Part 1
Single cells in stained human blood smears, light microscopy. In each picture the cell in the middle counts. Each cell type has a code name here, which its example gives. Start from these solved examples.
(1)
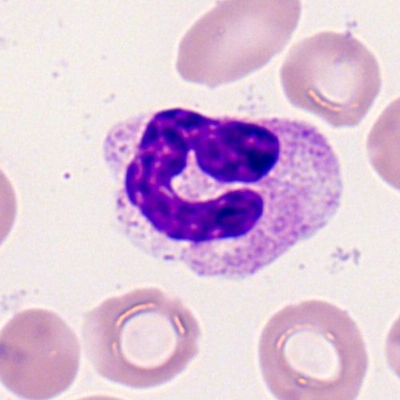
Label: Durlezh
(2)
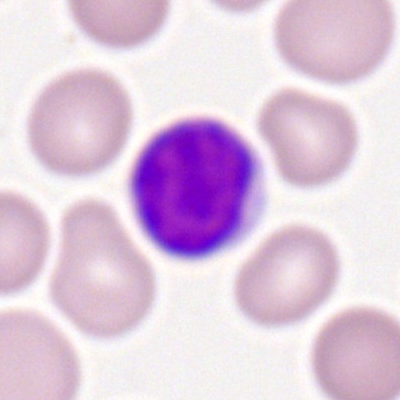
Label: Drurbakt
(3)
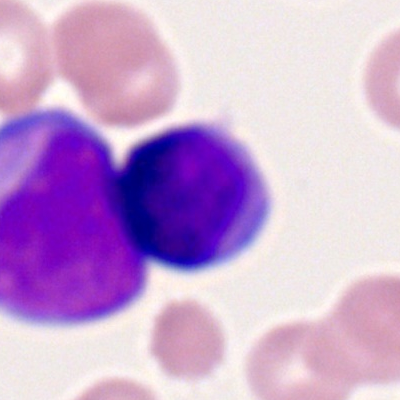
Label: Drurbakt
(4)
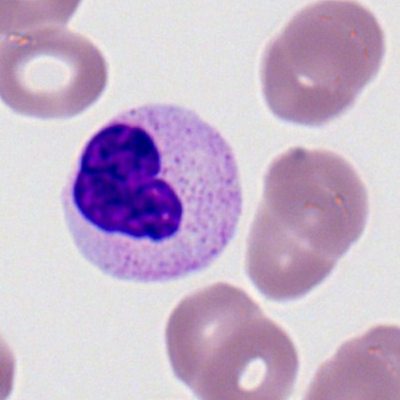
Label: Durlezh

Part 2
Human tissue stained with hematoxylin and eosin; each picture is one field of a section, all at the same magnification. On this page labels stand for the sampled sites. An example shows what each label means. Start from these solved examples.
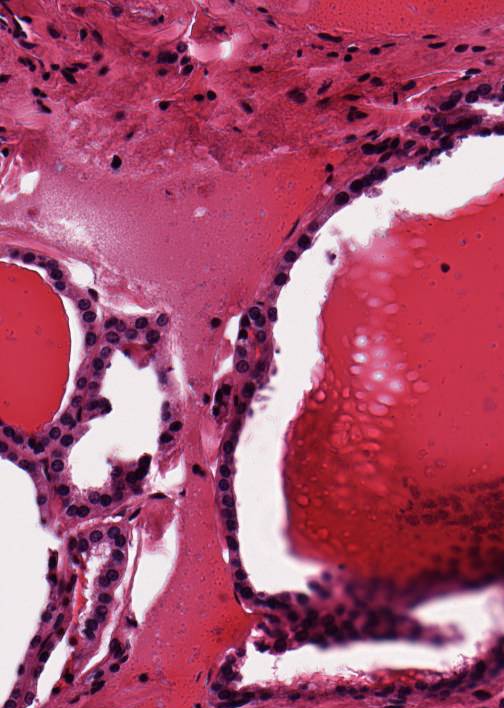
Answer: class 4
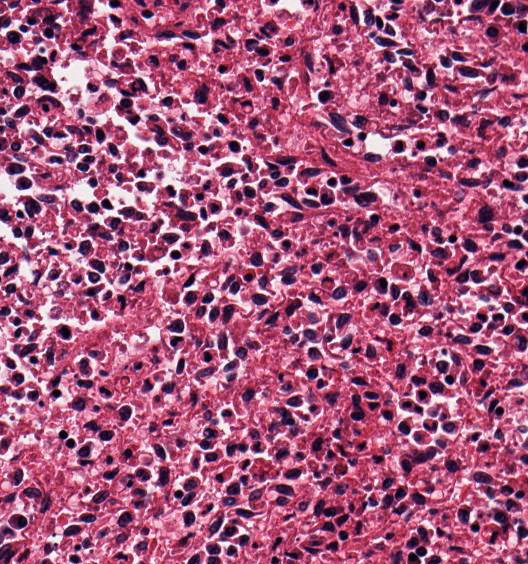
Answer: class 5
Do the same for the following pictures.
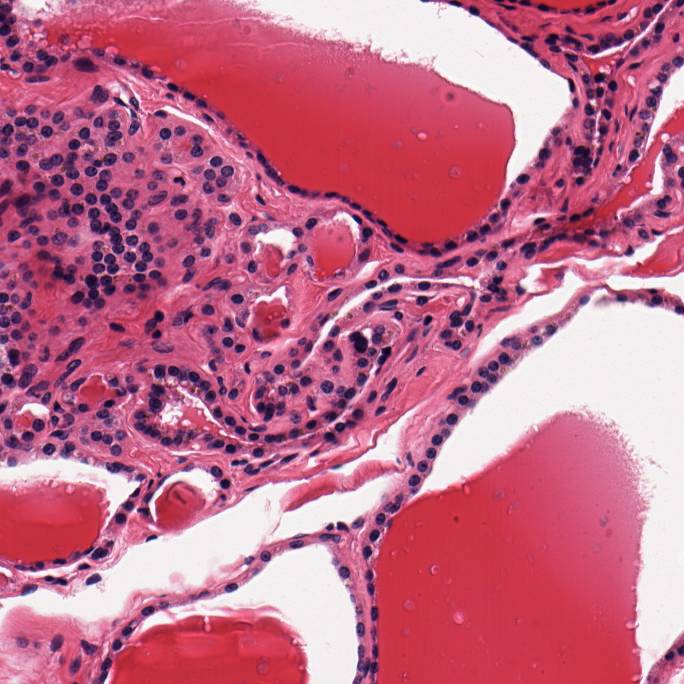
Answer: class 4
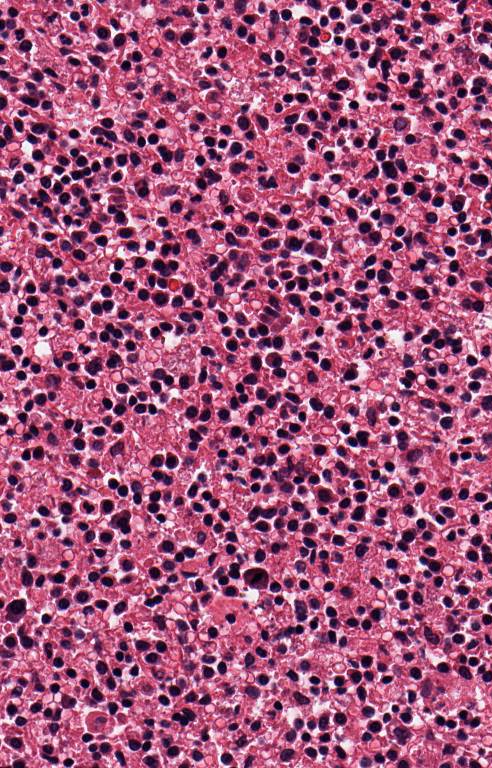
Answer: class 5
